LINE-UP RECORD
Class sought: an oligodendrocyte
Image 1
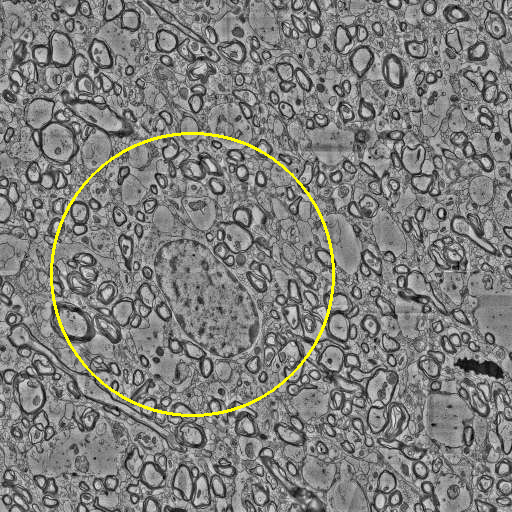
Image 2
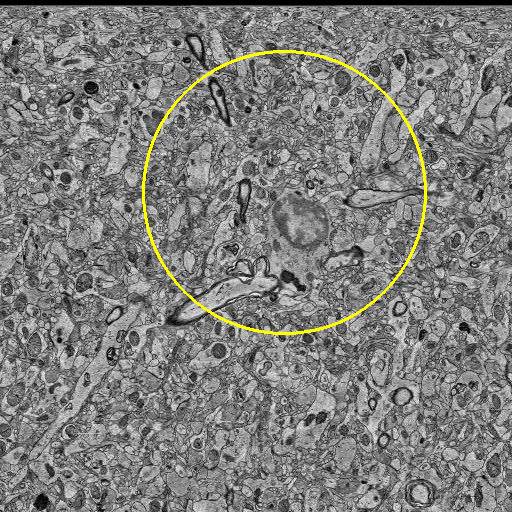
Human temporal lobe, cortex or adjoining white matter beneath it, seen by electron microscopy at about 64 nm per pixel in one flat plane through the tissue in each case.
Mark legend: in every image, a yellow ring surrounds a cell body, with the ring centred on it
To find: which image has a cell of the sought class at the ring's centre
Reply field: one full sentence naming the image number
The ring-centred cell of image 2 belongs to the class sought.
